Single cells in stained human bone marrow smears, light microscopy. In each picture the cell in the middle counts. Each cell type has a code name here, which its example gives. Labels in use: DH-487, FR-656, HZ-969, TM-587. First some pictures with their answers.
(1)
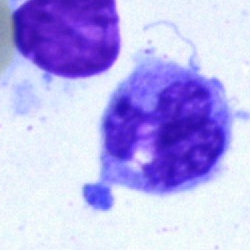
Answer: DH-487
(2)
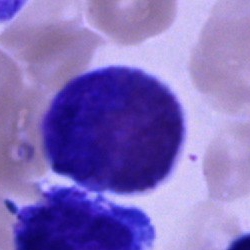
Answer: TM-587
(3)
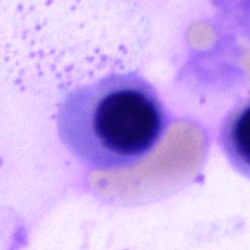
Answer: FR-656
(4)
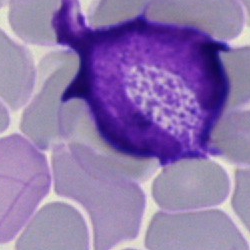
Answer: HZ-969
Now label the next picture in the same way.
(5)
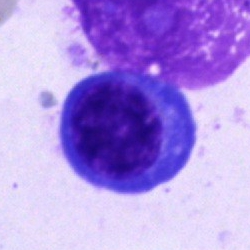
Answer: FR-656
